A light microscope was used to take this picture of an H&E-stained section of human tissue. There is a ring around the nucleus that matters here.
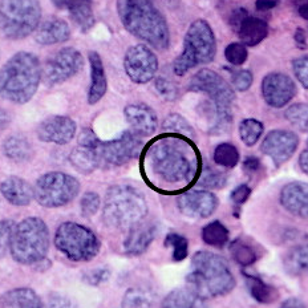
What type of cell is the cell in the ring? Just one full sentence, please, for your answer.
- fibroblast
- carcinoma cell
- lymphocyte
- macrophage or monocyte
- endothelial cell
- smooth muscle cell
The identity of the cell in the ring is that of a carcinoma cell.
